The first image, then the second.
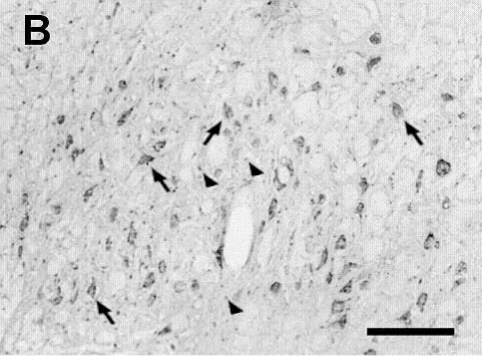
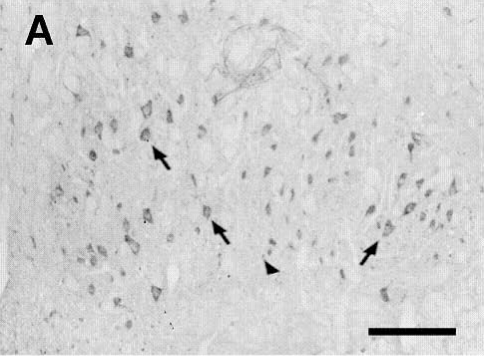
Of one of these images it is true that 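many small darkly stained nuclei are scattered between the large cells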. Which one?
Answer: the first image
